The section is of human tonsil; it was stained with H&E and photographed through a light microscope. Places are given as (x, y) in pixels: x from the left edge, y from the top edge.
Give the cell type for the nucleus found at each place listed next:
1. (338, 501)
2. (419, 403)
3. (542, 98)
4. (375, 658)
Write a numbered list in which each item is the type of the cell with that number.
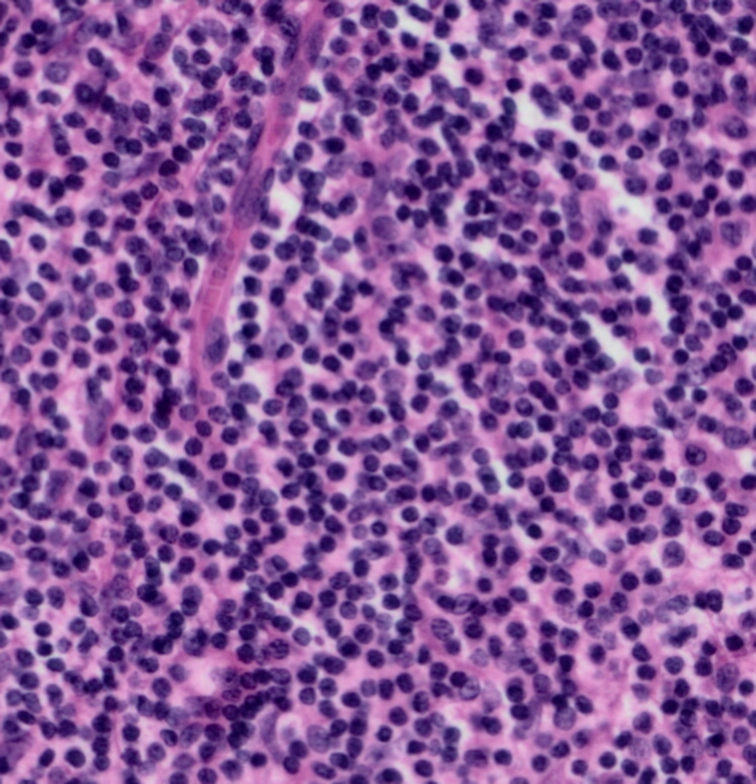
1. small lymphocyte
2. small lymphocyte
3. proliferating B cell
4. small lymphocyte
